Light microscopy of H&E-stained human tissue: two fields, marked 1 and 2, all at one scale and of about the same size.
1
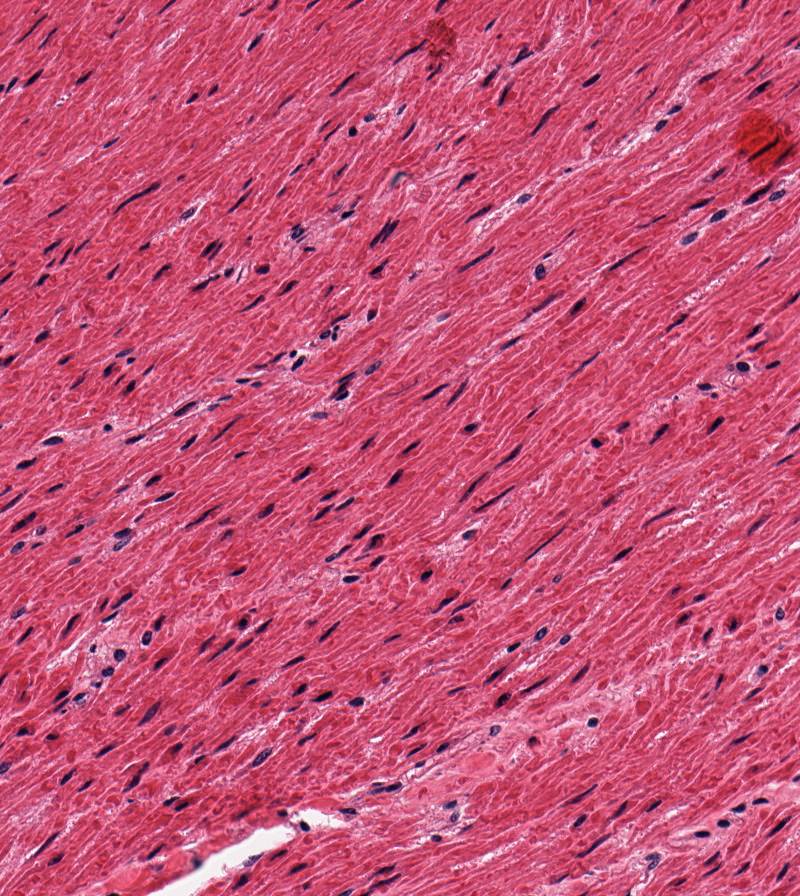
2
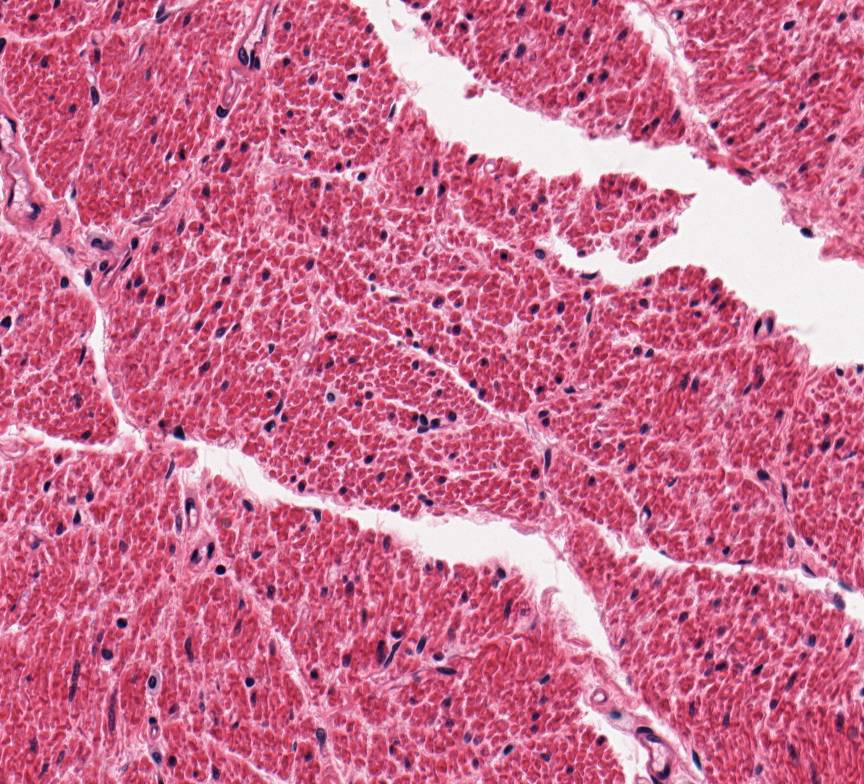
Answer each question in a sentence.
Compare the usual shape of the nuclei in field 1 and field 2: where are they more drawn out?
The nuclei are more elongated in field 1.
